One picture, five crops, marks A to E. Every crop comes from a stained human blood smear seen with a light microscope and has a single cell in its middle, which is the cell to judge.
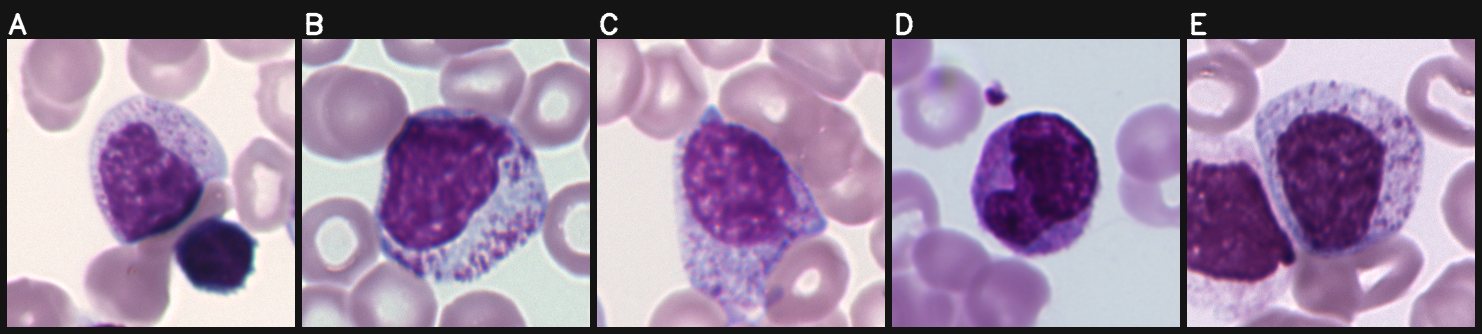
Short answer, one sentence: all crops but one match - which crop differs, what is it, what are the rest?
Crop D is a monocyte, and the other crops all show myelocytes.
